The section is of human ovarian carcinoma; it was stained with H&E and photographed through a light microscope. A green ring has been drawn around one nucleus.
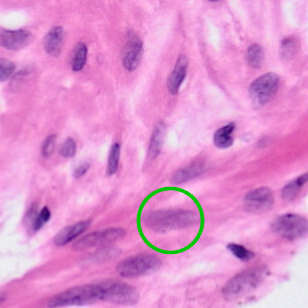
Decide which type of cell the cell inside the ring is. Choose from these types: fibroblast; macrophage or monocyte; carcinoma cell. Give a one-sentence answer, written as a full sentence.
In cell-type terms, the cell inside the ring is a fibroblast.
